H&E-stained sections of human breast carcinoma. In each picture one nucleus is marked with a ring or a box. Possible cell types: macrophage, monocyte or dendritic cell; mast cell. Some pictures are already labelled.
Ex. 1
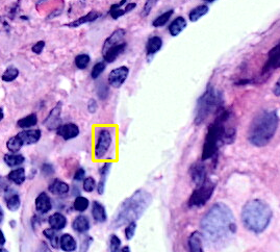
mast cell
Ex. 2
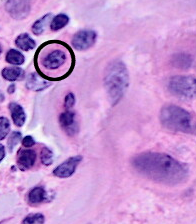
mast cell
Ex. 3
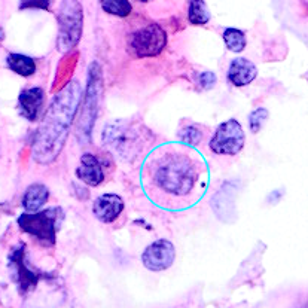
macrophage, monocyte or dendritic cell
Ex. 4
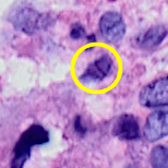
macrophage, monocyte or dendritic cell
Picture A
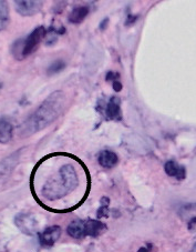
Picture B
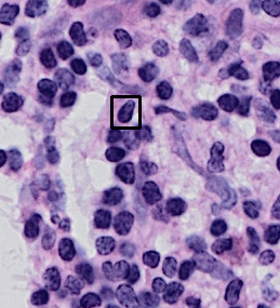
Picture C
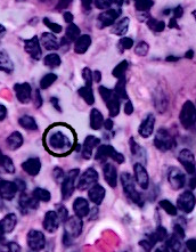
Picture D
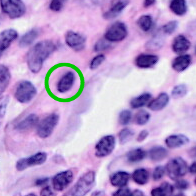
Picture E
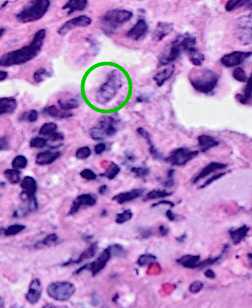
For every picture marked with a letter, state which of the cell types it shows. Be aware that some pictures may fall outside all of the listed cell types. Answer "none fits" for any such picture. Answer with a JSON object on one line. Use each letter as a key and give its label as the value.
{"A": "macrophage, monocyte or dendritic cell", "B": "none fits", "C": "none fits", "D": "none fits", "E": "macrophage, monocyte or dendritic cell"}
